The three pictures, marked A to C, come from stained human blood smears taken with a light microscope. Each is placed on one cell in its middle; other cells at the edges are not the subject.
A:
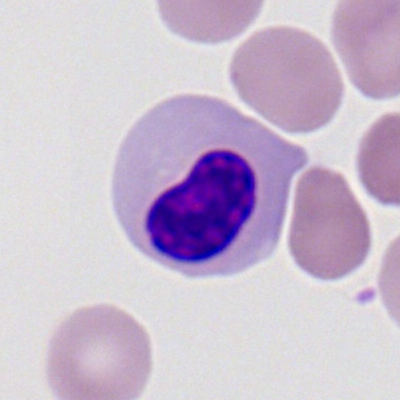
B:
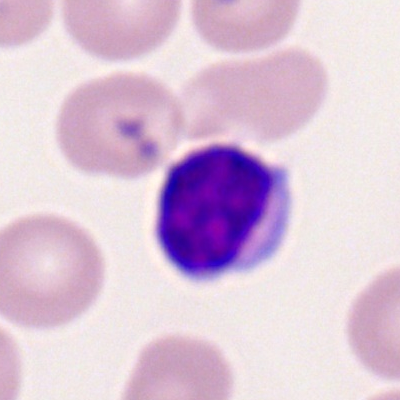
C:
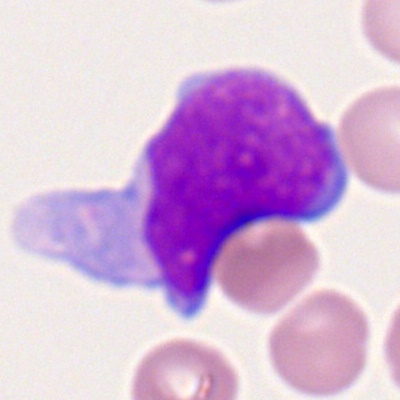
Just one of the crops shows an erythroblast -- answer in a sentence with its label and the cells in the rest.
Crop A is an erythroblast and, for the others, crop B is a lymphocyte and crop C is a myeloblast.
